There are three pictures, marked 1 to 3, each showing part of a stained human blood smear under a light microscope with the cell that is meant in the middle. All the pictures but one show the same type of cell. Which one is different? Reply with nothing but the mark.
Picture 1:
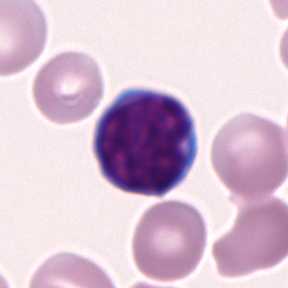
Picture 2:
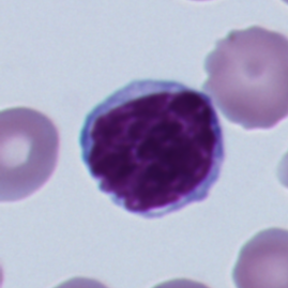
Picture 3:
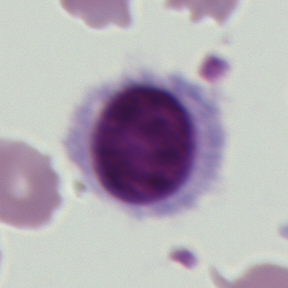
3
